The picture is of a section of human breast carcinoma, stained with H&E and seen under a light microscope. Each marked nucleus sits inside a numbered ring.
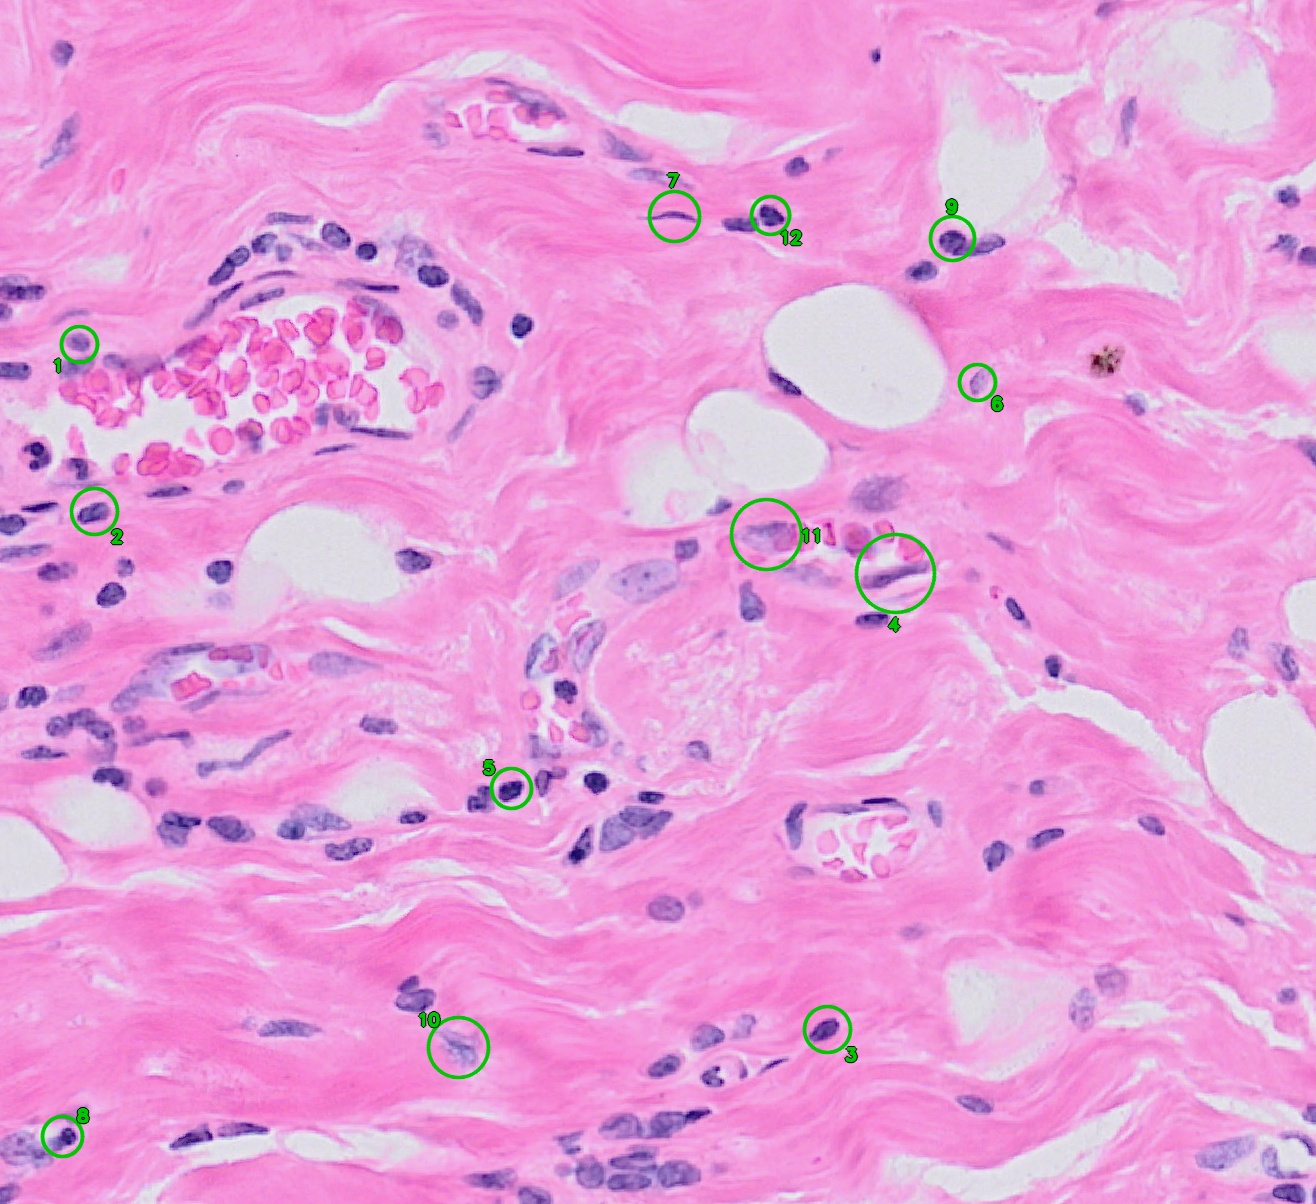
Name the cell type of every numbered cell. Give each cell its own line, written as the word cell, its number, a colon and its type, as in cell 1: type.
cell 1: lymphocyte
cell 2: lymphocyte
cell 3: lymphocyte
cell 4: endothelial cell
cell 5: lymphocyte
cell 6: fibroblast
cell 7: fibroblast
cell 8: lymphocyte
cell 9: lymphocyte
cell 10: fibroblast
cell 11: endothelial cell
cell 12: lymphocyte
